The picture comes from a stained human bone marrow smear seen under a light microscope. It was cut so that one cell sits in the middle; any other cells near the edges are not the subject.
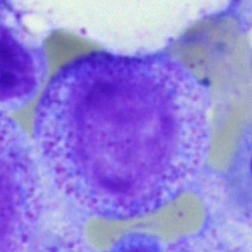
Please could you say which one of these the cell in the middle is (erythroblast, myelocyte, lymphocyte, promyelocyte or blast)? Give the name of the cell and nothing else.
myelocyte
